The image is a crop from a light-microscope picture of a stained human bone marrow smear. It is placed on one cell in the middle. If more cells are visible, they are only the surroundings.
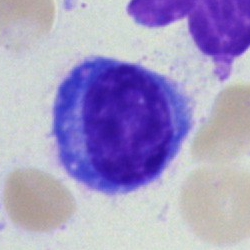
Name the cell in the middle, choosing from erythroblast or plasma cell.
plasma cell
